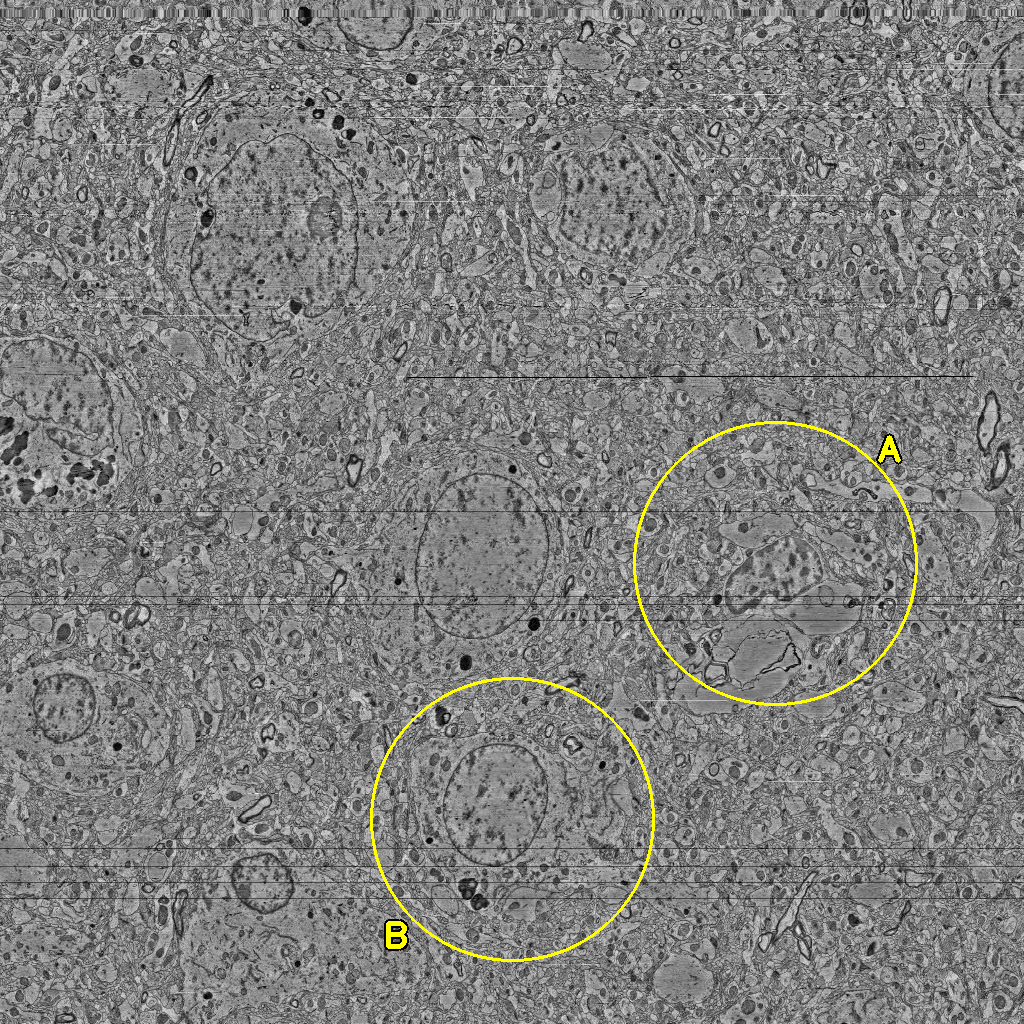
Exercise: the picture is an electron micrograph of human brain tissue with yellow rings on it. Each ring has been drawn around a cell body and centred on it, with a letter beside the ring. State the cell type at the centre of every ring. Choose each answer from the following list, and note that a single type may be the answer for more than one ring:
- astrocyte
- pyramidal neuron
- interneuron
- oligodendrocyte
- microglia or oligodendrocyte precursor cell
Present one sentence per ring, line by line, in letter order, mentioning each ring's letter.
Ring A shows a microglial cell or oligodendrocyte precursor cell at its centre.
Ring B shows a pyramidal neuron at its centre.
